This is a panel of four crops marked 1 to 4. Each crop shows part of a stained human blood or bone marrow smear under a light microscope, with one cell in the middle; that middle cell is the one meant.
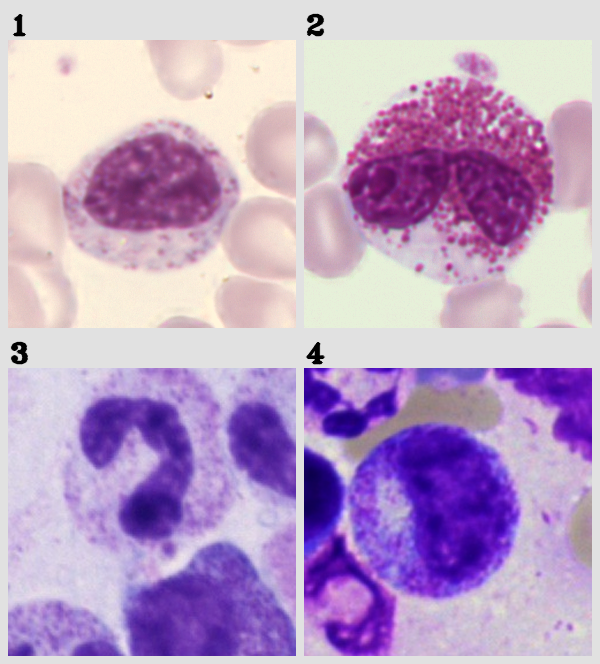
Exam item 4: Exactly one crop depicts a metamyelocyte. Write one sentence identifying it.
Crop 1 is the one in the set with a metamyelocyte at the center.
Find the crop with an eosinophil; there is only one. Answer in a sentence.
Crop 2 alone, of all the crops, shows an eosinophil.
